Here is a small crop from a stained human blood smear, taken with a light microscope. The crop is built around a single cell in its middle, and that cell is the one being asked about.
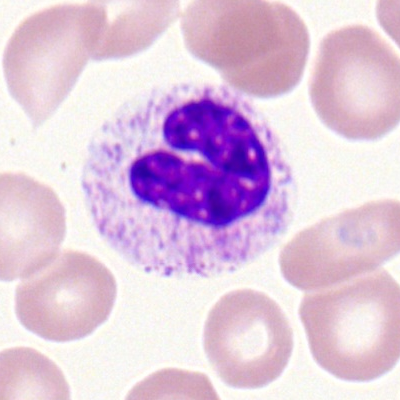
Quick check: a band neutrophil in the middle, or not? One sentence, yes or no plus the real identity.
Yes, the centred cell is categorised as a band neutrophil.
